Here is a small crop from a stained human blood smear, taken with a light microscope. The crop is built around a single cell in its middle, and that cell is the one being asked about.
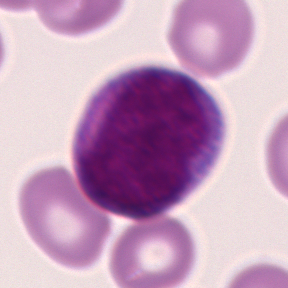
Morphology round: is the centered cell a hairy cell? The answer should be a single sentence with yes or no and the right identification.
No, it is not a hairy cell that lies in the middle but a myeloblast.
